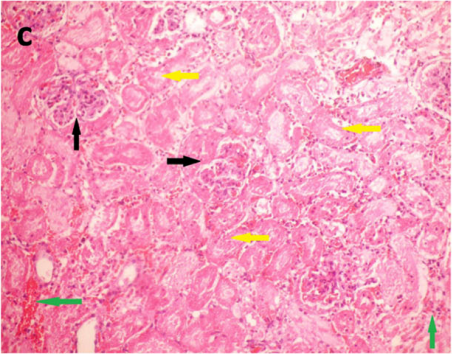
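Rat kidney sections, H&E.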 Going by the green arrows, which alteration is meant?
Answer: interstitial hemorrhage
